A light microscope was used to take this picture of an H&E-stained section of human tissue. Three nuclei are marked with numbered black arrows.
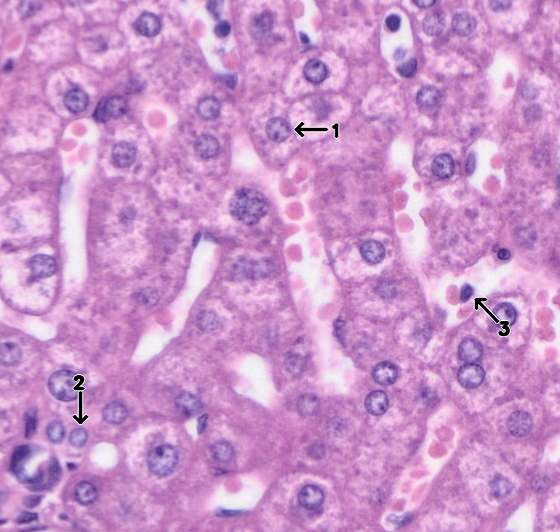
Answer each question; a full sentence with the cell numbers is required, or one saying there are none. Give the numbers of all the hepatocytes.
Of the marked cells, the one numbered 1 is a hepatocyte and the rest are not.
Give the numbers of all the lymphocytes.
Cell 3 is a lymphocyte, whereas each of the other numbered cells is not.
